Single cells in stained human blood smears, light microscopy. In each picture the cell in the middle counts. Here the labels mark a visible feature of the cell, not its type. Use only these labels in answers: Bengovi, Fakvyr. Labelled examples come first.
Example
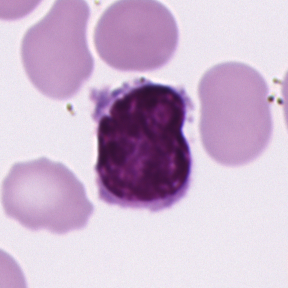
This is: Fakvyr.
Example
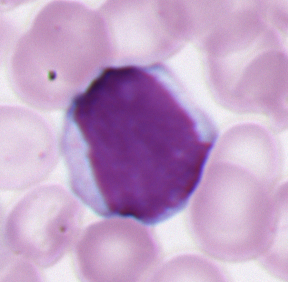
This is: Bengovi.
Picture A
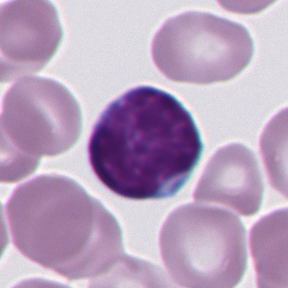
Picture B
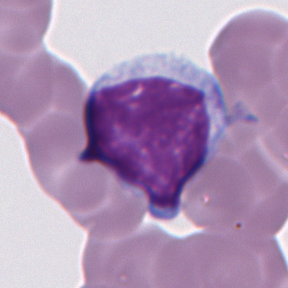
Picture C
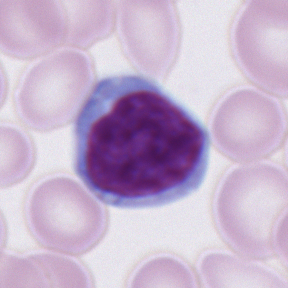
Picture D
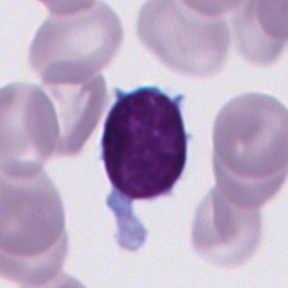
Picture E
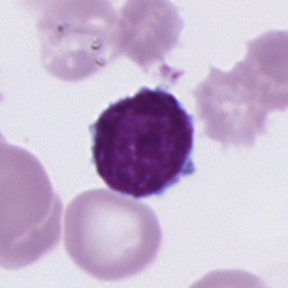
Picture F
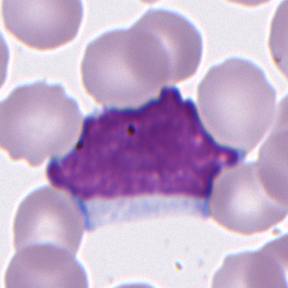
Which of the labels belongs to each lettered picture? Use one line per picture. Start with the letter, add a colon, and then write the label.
A: Bengovi.
B: Fakvyr.
C: Bengovi.
D: Fakvyr.
E: Fakvyr.
F: Fakvyr.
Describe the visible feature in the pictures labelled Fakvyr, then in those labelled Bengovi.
Fakvyr, ragged outline or projections; Bengovi, smooth outline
